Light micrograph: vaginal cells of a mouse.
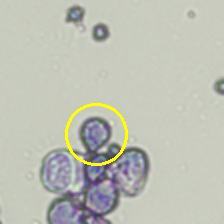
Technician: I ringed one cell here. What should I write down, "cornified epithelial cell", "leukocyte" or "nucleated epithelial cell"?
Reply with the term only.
nucleated epithelial cell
